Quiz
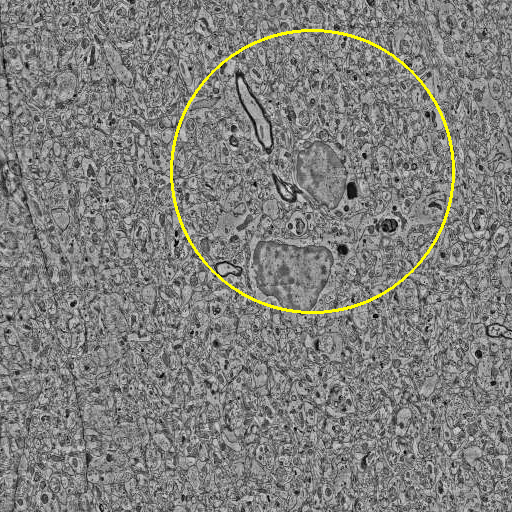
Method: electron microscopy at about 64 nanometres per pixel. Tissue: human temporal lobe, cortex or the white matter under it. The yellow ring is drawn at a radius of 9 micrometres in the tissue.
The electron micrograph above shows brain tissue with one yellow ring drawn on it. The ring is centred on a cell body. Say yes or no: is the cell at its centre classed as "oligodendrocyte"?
yes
